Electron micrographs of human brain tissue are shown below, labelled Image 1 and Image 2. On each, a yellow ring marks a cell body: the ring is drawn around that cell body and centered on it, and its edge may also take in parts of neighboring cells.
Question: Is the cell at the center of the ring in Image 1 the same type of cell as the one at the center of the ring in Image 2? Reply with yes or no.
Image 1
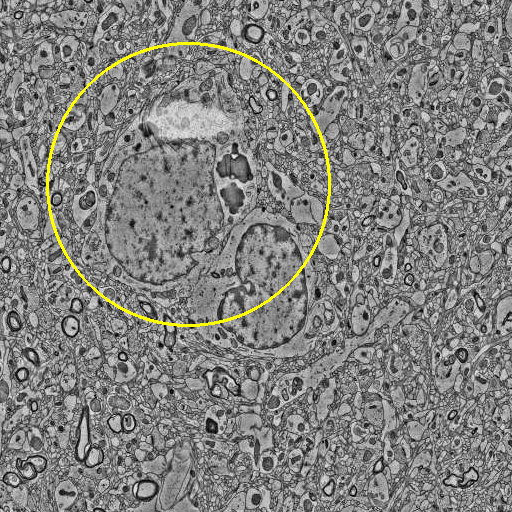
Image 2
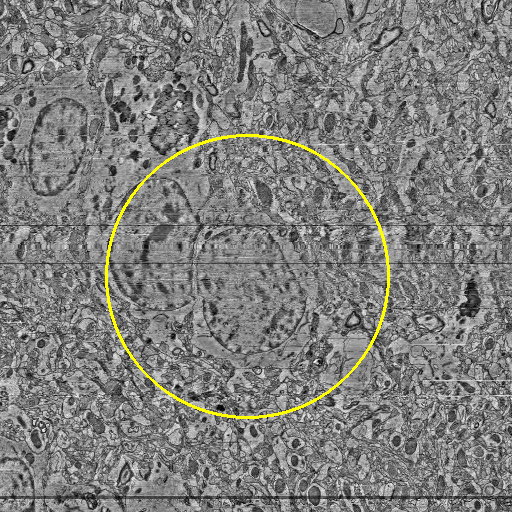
no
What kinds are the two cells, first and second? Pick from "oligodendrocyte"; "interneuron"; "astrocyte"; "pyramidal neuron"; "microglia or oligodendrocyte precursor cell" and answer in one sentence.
The second picture holds an astrocyte in its ring, and the first holds an interneuron.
